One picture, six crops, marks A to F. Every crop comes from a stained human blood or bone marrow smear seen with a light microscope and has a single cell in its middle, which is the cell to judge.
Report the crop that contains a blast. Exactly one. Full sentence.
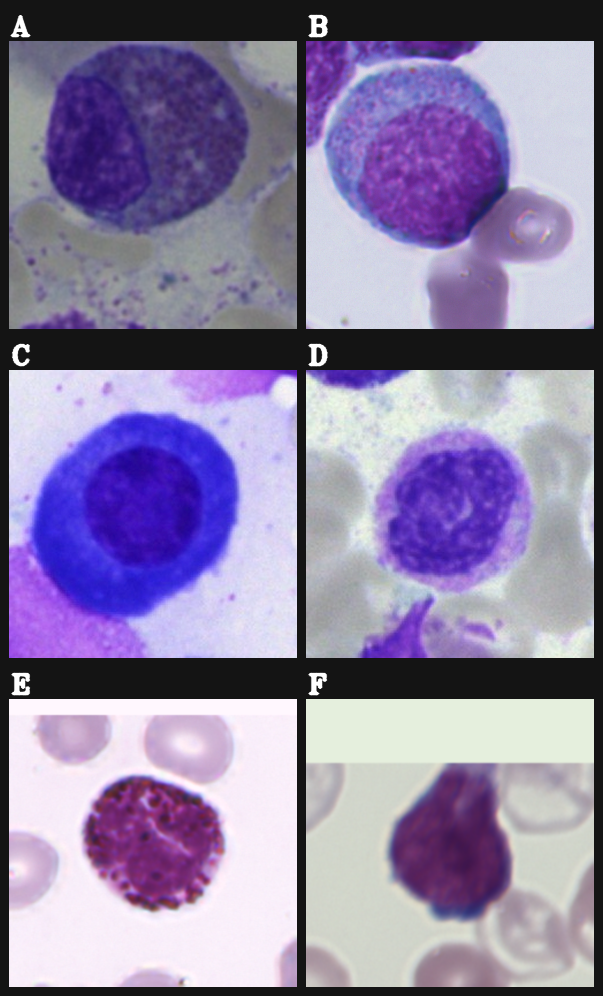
Of the cells presented, the one in crop F is a blast.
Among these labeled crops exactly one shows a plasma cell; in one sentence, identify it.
Crop C is identified as the crop showing a plasma cell.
